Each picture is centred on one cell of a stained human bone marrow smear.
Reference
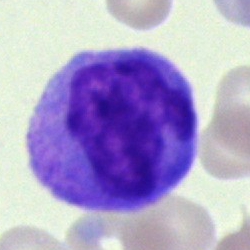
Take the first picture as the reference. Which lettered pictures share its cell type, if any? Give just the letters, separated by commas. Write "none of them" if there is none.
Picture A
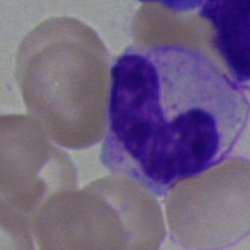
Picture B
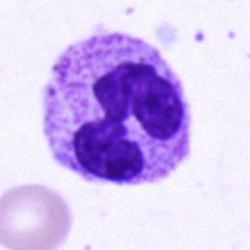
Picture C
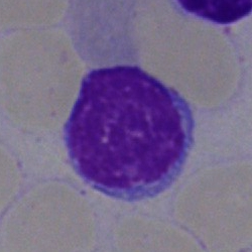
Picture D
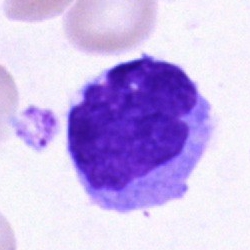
D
